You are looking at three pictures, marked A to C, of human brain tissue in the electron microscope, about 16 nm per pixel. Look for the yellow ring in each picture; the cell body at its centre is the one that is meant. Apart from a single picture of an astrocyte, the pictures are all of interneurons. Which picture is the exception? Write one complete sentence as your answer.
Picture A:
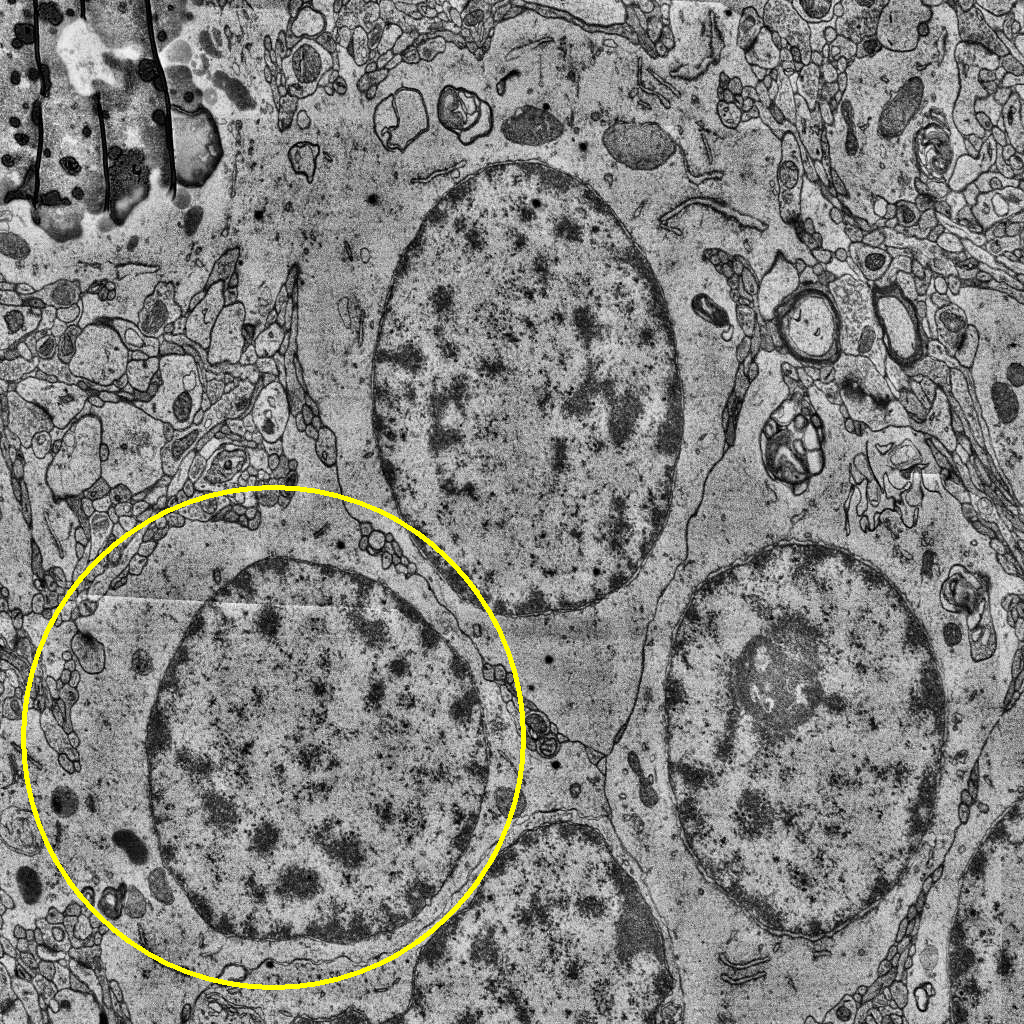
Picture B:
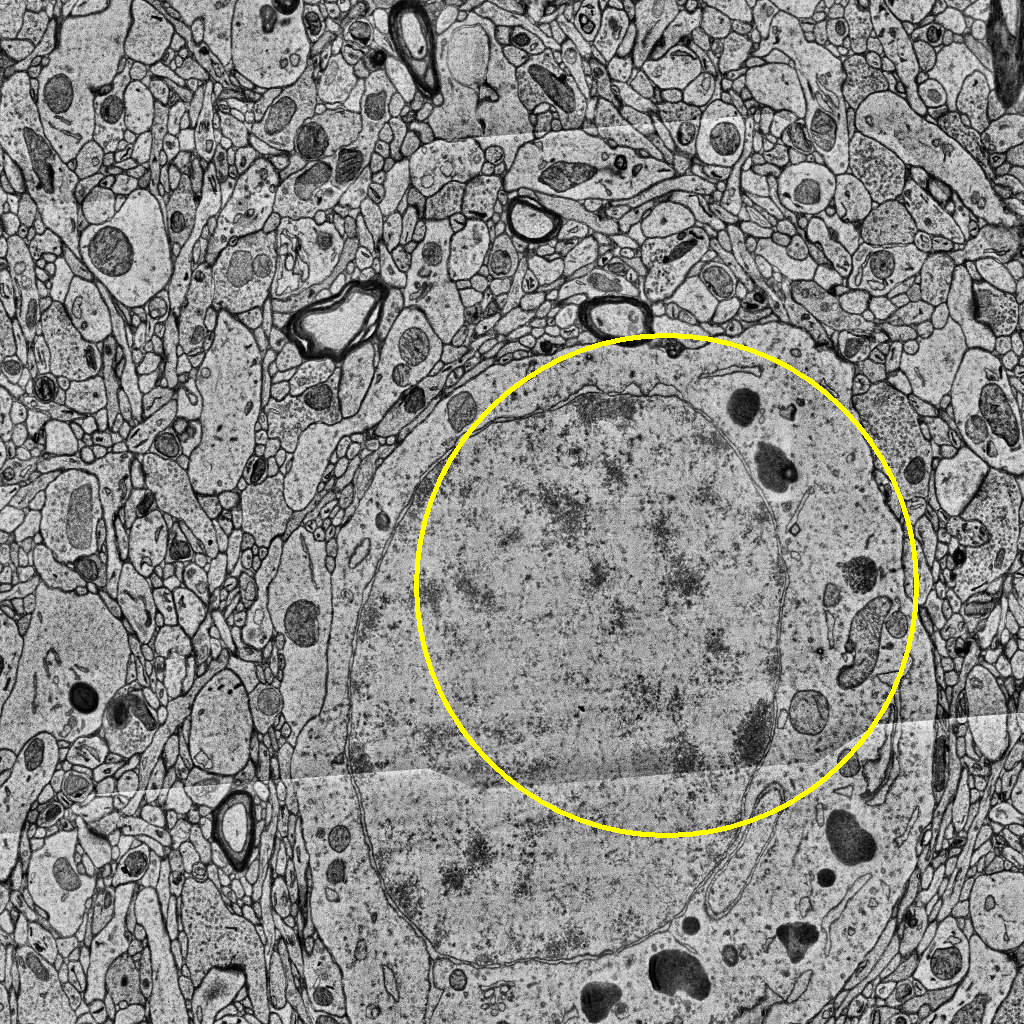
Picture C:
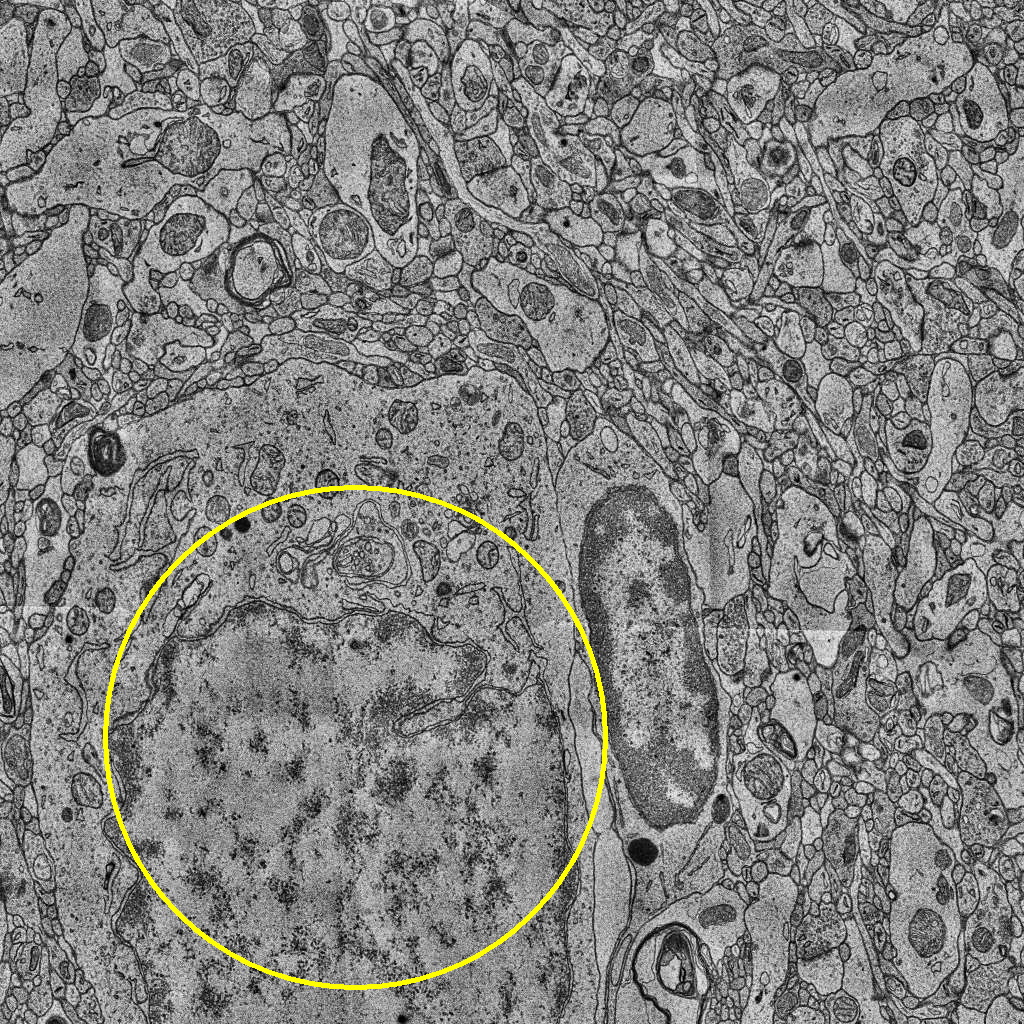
It is picture A that shows the astrocyte.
